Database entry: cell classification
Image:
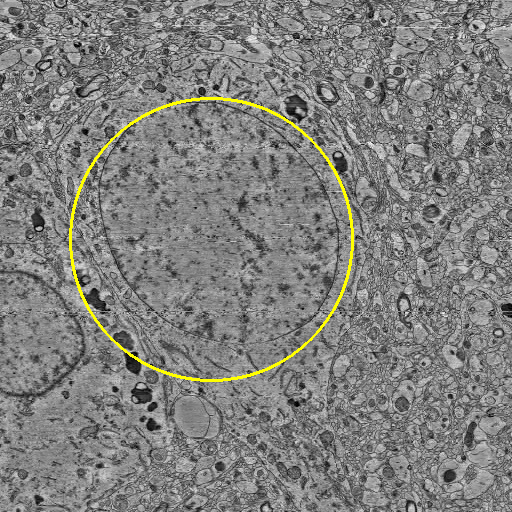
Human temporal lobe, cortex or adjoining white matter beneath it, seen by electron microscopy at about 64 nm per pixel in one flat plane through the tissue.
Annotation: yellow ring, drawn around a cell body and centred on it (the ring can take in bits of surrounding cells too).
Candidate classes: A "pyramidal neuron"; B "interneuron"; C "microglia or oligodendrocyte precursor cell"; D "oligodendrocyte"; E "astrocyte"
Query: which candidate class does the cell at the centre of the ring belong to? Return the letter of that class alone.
A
